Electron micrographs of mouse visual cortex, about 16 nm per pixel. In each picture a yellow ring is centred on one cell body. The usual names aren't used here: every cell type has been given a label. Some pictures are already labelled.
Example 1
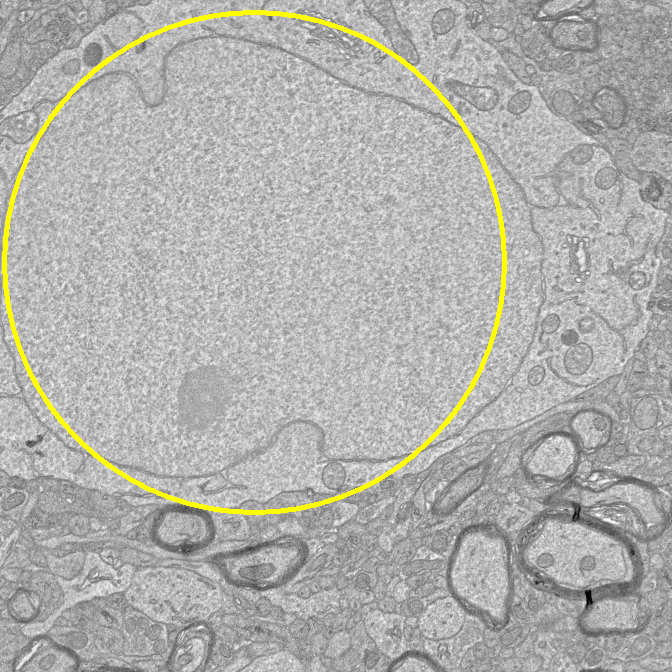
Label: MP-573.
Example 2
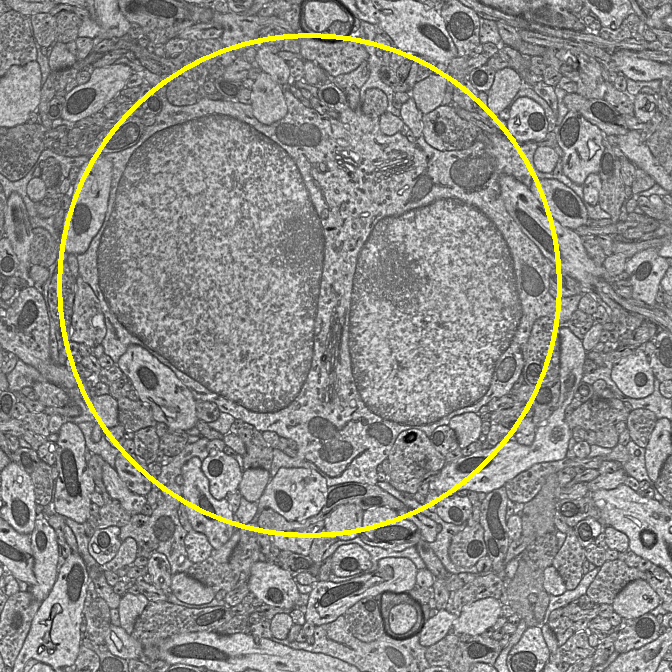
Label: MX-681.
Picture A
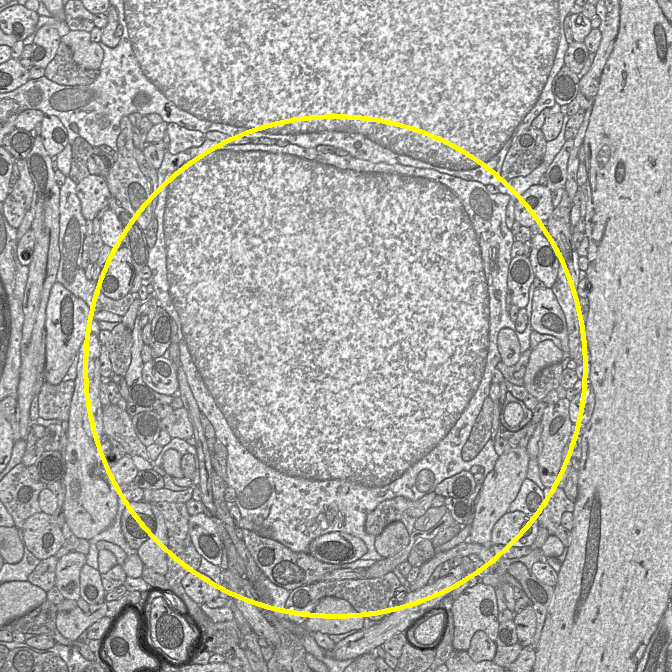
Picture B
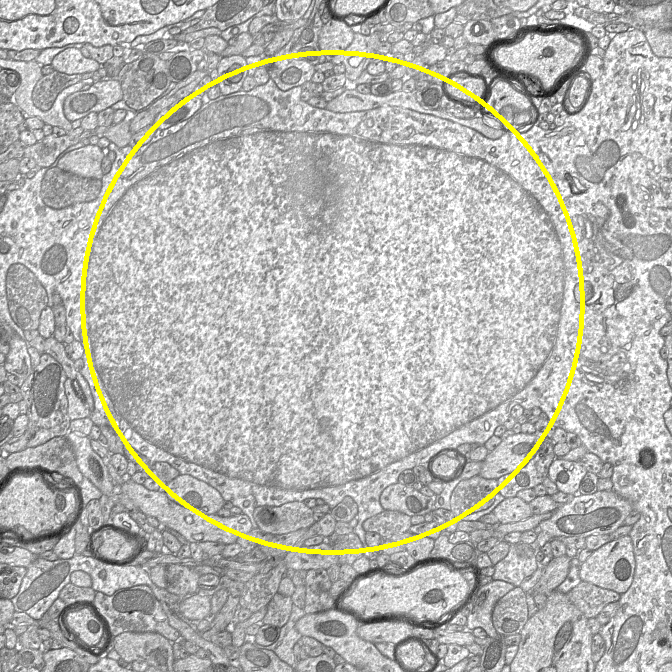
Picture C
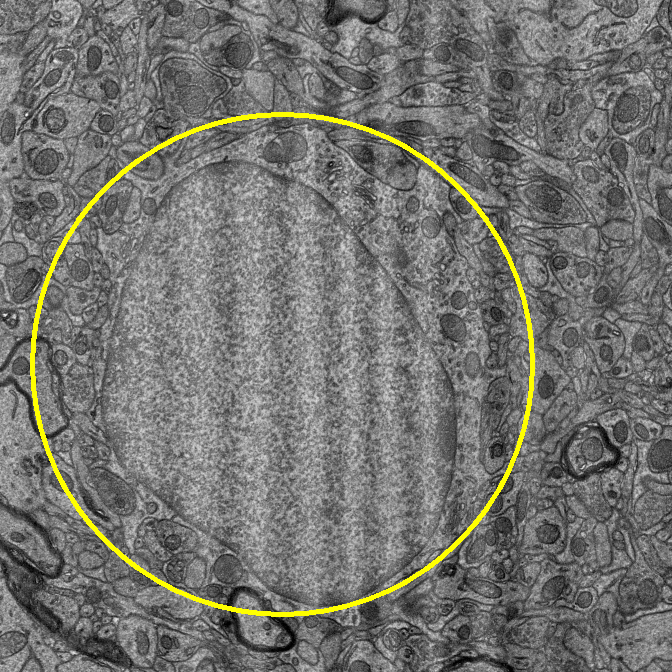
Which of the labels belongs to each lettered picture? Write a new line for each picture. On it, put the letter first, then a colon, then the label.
A: MX-681.
B: MX-681.
C: MX-681.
